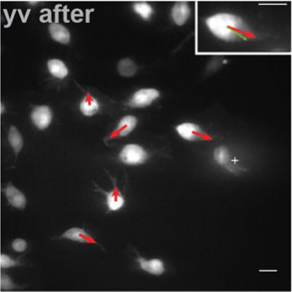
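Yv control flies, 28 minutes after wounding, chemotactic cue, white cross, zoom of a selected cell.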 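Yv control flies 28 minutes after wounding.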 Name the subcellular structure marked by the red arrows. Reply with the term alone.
Polarization arm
